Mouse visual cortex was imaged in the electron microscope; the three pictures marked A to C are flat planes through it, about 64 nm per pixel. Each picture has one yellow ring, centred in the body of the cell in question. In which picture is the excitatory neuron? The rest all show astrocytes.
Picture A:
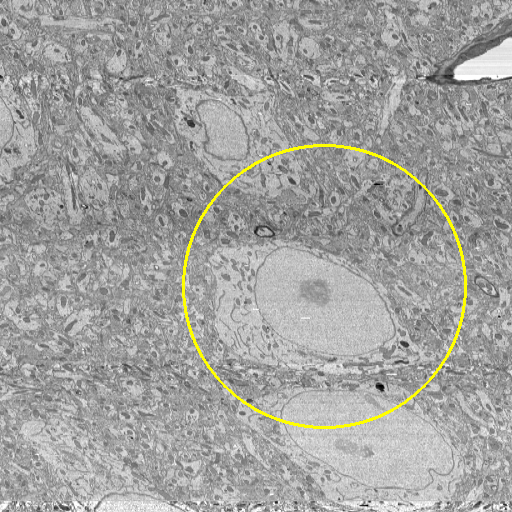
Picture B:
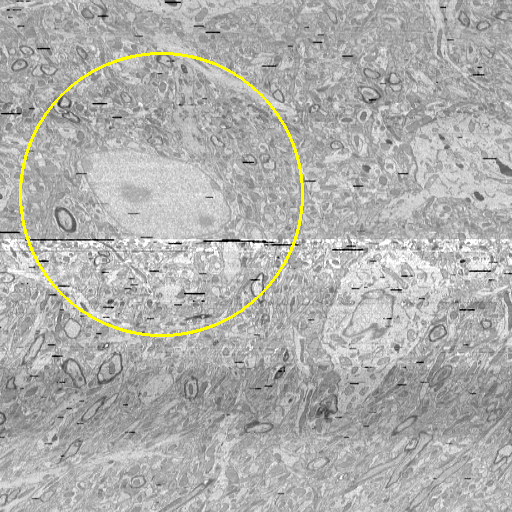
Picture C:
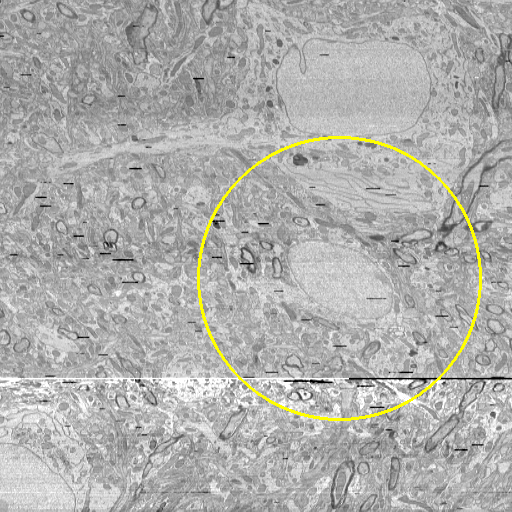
The excitatory neuron is the one in picture A.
